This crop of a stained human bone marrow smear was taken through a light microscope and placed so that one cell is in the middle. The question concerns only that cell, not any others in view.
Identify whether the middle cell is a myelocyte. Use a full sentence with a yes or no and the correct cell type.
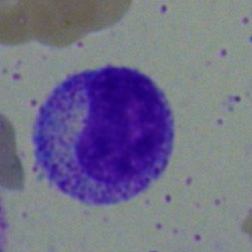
Yes, this central cell is a myelocyte.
